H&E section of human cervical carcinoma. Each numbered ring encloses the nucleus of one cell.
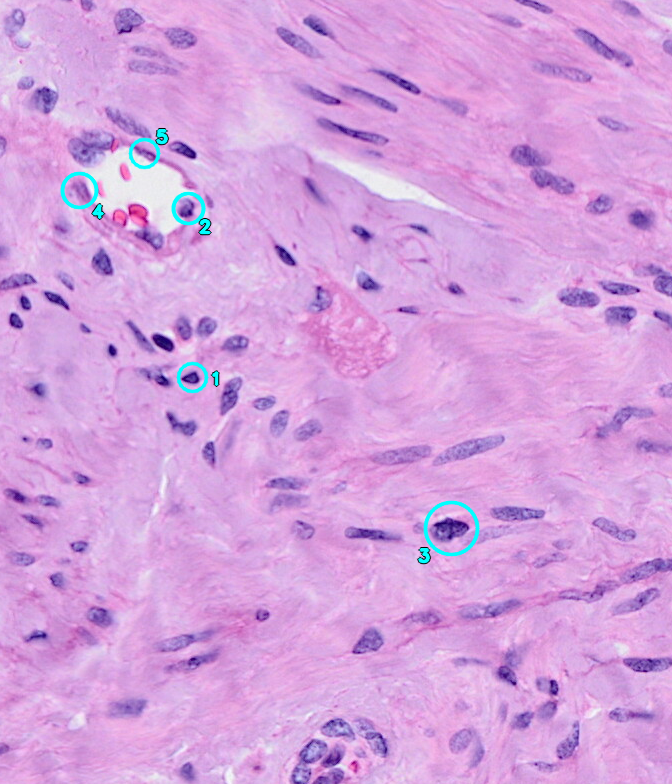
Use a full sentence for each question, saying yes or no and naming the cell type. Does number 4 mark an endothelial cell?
Yes, the numbered cell 4 is identified as an endothelial cell.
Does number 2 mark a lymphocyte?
No, not a lymphocyte: the cell with number 2 is an endothelial cell.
